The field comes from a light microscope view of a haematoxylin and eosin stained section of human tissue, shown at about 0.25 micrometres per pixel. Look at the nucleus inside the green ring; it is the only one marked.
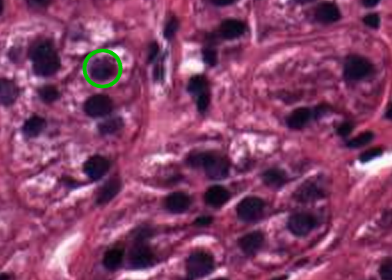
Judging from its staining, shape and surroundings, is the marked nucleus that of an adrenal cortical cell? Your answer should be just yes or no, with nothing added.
yes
